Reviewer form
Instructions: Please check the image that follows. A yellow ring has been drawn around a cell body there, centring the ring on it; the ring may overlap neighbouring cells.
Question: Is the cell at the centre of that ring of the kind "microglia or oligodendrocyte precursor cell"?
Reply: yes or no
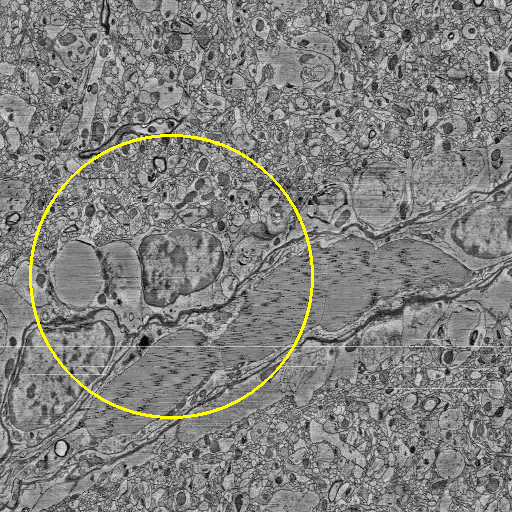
yes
